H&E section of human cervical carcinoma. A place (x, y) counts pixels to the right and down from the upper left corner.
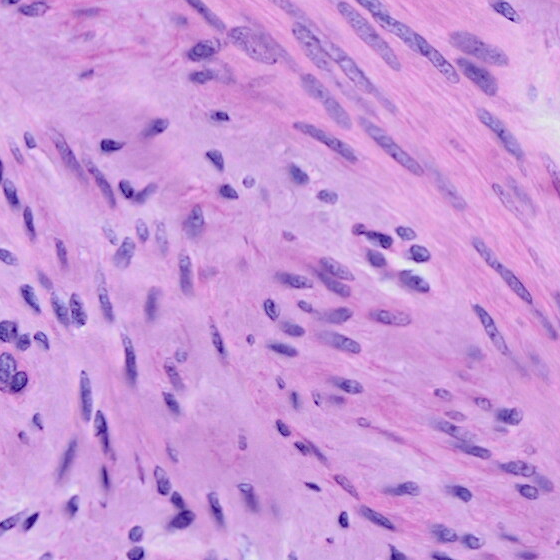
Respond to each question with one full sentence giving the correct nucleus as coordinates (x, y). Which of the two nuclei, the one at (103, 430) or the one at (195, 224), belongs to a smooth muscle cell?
It is the nucleus at (195, 224) that forms part of a smooth muscle cell.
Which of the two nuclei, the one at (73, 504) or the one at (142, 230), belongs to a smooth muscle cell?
Of the two candidate nuclei, the one at (142, 230) is that of a smooth muscle cell.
